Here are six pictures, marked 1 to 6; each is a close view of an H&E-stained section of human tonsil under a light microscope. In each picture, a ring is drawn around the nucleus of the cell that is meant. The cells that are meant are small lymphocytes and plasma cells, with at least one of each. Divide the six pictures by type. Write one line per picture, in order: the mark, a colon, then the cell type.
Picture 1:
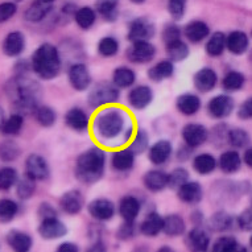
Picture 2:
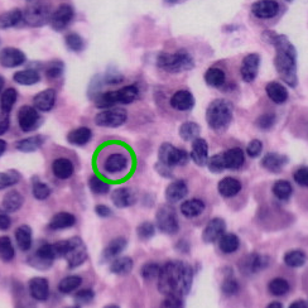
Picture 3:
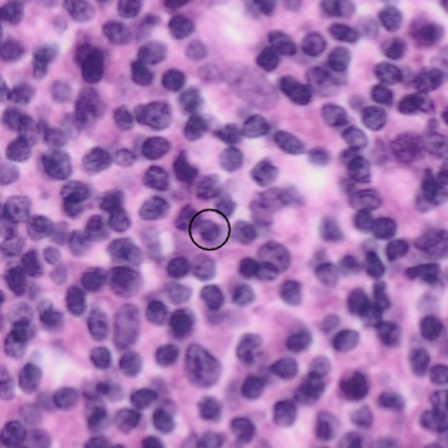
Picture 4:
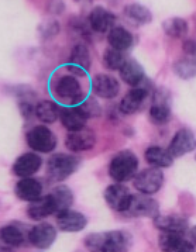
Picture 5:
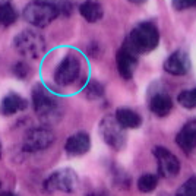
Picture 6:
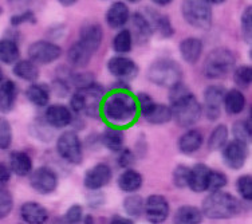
1: small lymphocyte
2: plasma cell
3: small lymphocyte
4: small lymphocyte
5: plasma cell
6: small lymphocyte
